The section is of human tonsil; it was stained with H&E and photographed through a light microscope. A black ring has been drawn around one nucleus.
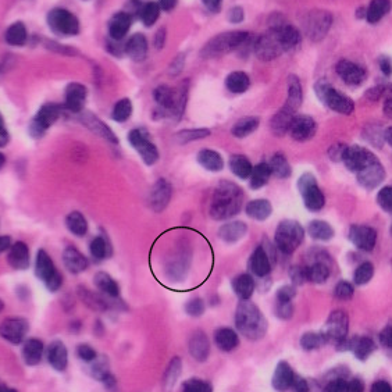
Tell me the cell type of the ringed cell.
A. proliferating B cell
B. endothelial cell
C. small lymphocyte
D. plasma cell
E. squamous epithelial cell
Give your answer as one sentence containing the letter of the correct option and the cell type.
The correct pick is option B; the ringed cell is an endothelial cell.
